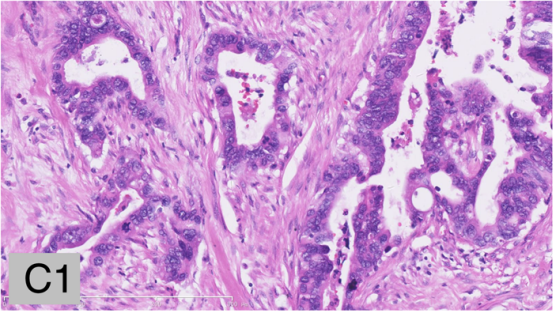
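This is an adenocarcinoma in which irregular, infiltrating gland-like and duct-like structures are lined by atypical columnar to cuboidal epithelial cells. The lining cells have enlarged, oval, crowded nuclei that are stacked in places, with purple cytoplasm. The glands are of uneven shape and size, some with small amounts of debris and red blood cells in their lumens. Between them lies abundant dense pink fibrous stroma with spindle-shaped cells, a marked desmoplastic reaction.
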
